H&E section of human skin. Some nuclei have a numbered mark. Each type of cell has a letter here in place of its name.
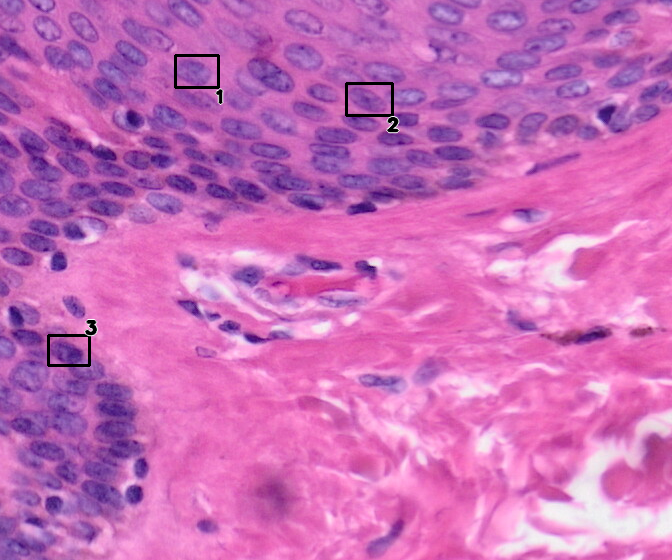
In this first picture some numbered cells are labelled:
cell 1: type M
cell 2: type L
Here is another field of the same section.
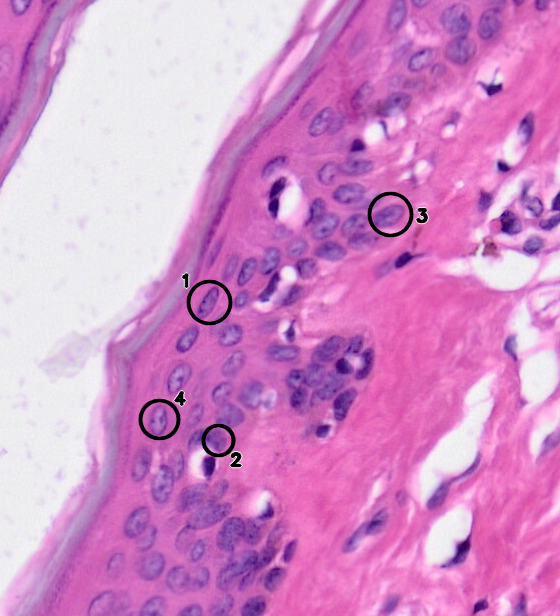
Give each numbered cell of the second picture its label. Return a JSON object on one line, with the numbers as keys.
{"1": "type M", "2": "type L", "3": "type L", "4": "type M"}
